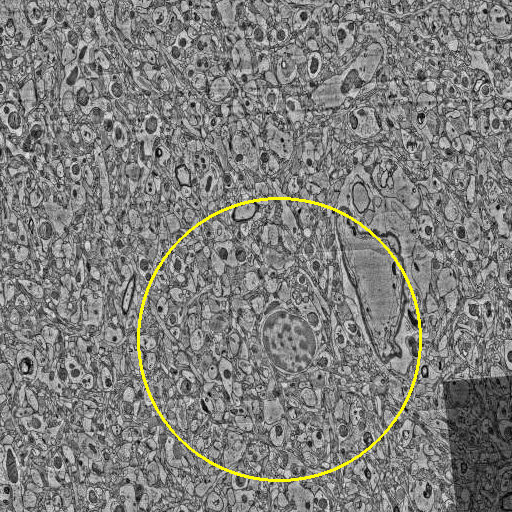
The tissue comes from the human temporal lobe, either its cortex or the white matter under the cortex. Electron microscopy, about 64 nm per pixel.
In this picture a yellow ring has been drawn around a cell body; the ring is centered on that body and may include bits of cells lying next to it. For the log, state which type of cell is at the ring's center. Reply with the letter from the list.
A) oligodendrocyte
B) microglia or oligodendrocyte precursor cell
B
